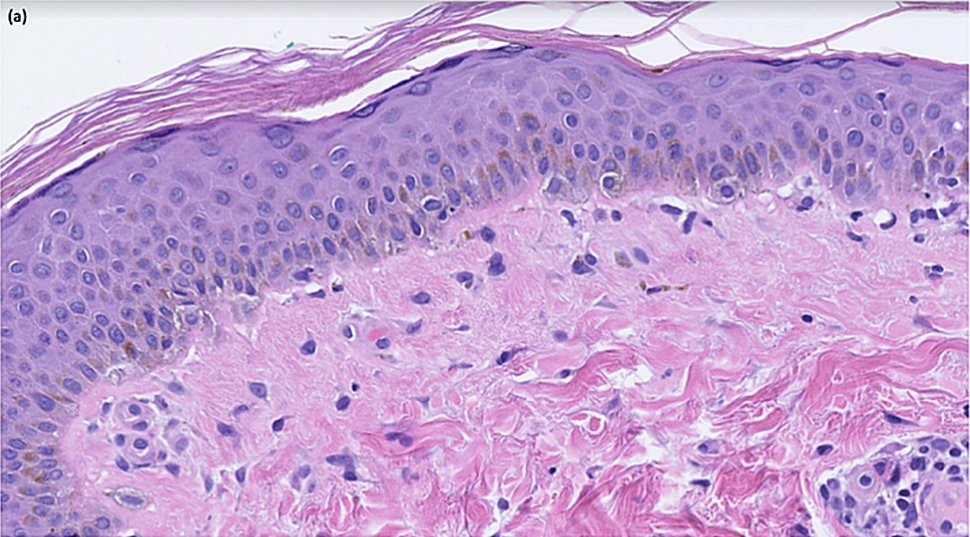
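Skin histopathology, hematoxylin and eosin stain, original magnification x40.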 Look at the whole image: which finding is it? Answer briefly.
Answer: Vacuolar degeneration of basal epidermal layer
